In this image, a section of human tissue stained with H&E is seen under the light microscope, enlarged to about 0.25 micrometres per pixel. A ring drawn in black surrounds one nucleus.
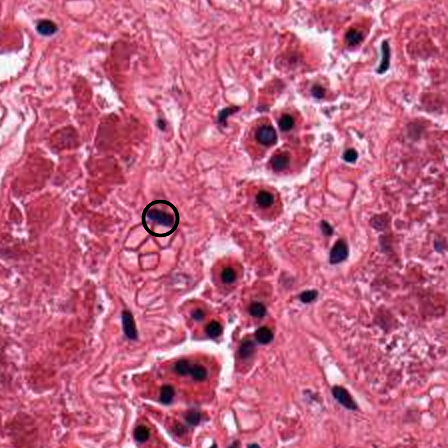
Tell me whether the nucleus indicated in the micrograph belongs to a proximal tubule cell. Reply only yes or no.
no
